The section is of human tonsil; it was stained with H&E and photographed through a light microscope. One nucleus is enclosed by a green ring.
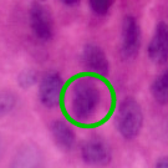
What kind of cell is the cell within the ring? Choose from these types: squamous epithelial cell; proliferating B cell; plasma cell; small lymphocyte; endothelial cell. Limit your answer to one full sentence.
As a matter of cell type, the cell within the ring is a squamous epithelial cell.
